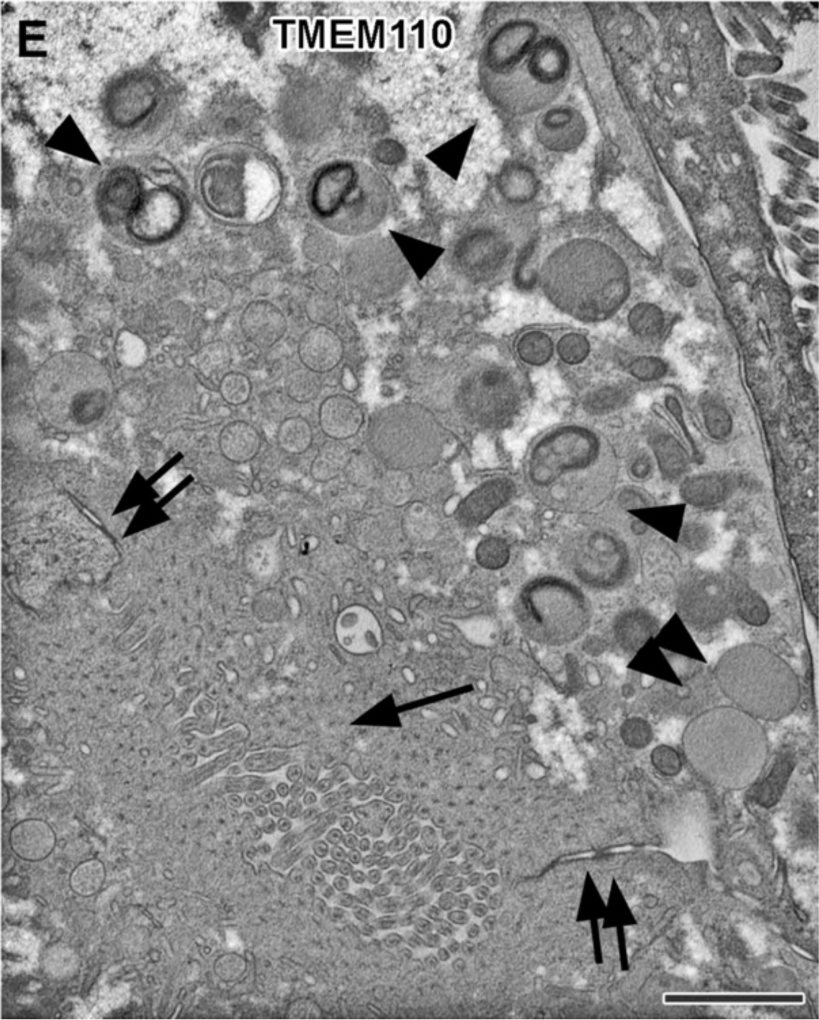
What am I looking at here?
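Between neighbouring epithelial cells lies a patch of microvilli cut in cross and oblique section, bordered by a finely granular zone of cytoplasm and flanked by short dense contacts between the cell membranes. The cytoplasm above holds many mitochondria and round organelles with dark whorled membranous content, the lysosomes, and a pale, poorly structured larger round body.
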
